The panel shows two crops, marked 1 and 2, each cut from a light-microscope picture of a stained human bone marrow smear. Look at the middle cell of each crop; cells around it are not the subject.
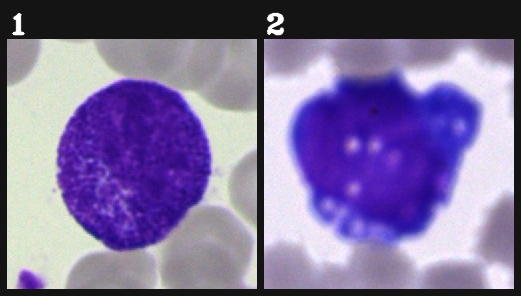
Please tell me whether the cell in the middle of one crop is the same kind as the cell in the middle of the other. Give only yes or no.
no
